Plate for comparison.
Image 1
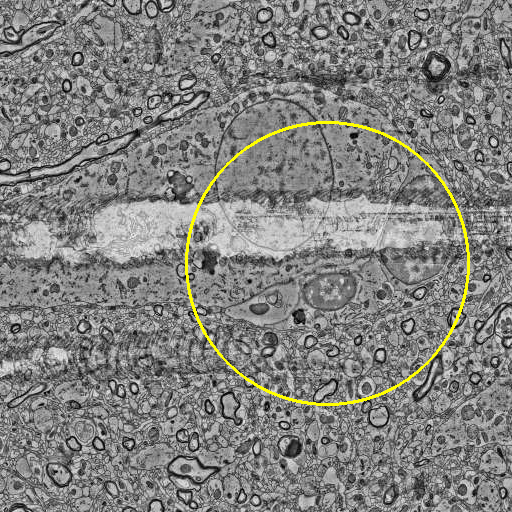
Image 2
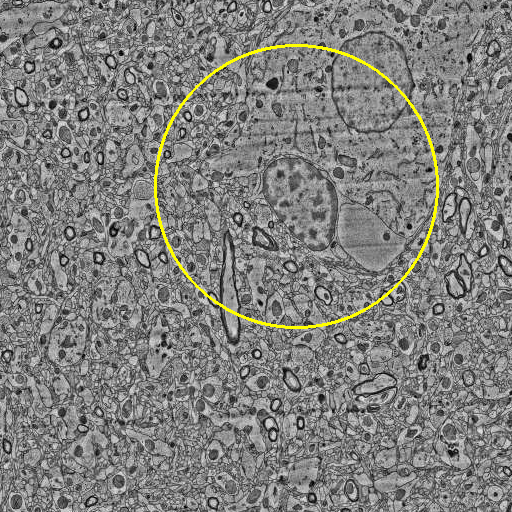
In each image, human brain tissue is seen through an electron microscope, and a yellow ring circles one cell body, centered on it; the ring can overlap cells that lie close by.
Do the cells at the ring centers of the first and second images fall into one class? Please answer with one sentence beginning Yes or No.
Yes, the first and second images show a single class of cell at the ring centers.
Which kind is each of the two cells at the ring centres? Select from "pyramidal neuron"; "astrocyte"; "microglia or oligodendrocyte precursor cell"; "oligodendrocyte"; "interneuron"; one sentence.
Each cell, in the first picture and the second, is a microglial cell or oligodendrocyte precursor cell.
